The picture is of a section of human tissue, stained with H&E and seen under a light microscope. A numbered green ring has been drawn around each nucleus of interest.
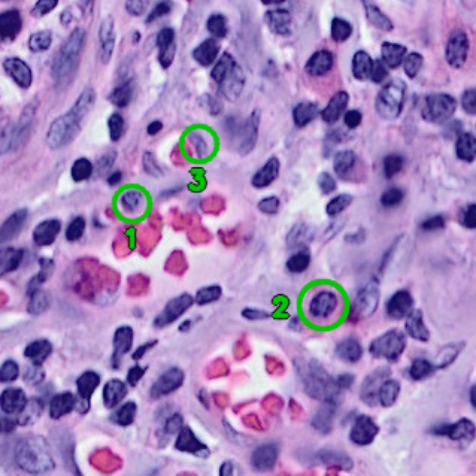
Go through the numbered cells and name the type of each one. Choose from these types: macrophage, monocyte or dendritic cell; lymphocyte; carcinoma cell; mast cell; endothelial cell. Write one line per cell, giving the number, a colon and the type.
1: endothelial cell
2: mast cell
3: endothelial cell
